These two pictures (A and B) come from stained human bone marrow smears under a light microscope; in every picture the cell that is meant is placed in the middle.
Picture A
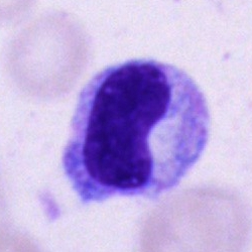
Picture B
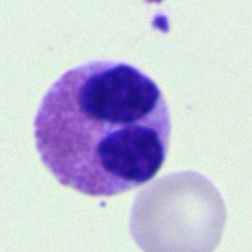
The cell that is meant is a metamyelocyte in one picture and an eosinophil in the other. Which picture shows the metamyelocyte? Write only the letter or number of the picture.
A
